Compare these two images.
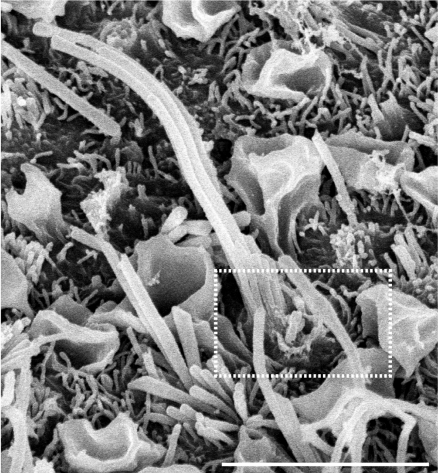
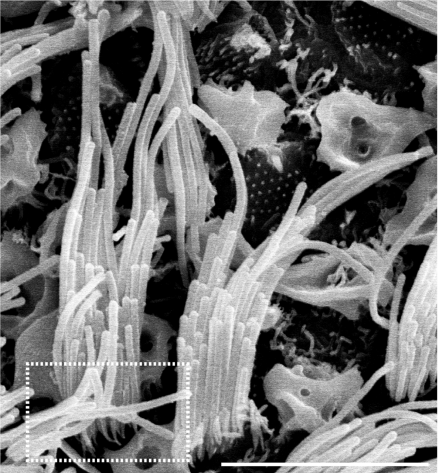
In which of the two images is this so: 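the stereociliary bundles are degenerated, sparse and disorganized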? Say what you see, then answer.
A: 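First image: only a few long projections stand up, with short, scattered ones and bare cell surfaces around them. Second image: several dense, tall, well-ordered bundles of projections. On this evidence: the first image.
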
